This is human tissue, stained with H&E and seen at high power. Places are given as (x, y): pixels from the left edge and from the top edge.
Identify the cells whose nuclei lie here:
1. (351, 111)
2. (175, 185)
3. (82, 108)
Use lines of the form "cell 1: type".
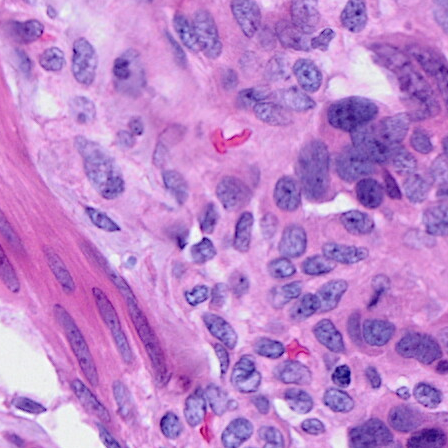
cell 1: carcinoma cell
cell 2: fibroblast
cell 3: fibroblast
